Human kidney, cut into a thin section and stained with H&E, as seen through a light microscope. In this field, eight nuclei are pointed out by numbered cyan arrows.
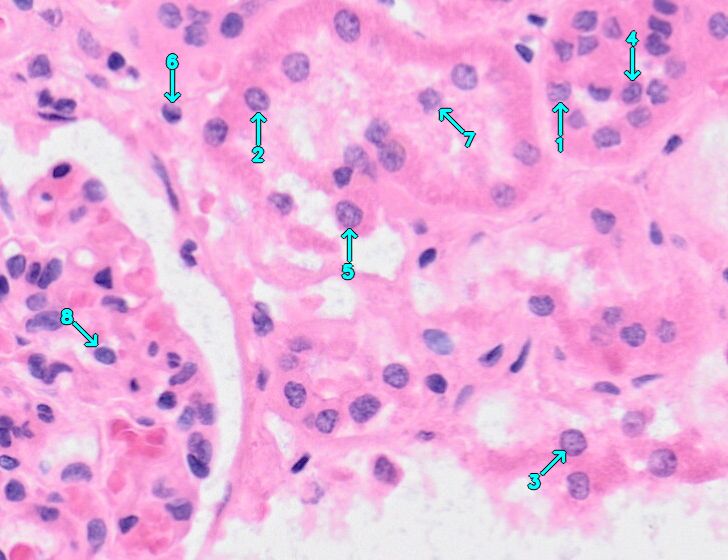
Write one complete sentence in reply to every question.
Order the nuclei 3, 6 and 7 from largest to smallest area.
Largest first, the order by area is 3, 7, 6.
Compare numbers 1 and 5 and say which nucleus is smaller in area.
With nucleus 5 about 1.5 times its size, nucleus 1 is the smaller of the two.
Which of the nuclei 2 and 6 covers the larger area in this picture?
Nucleus 2 is larger, with an area about 1.5 times that of nucleus 6.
